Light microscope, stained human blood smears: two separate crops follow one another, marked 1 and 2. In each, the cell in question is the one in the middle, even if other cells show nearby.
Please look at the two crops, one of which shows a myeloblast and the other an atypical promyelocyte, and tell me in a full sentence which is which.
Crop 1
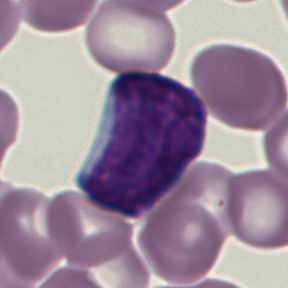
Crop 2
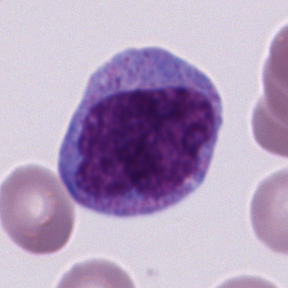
Crop 1 is a myeloblast; crop 2, on the other hand, is an atypical promyelocyte.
